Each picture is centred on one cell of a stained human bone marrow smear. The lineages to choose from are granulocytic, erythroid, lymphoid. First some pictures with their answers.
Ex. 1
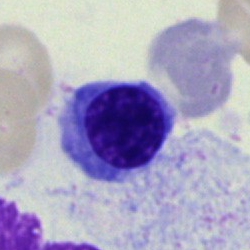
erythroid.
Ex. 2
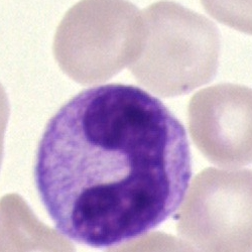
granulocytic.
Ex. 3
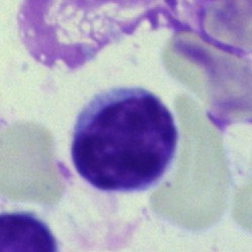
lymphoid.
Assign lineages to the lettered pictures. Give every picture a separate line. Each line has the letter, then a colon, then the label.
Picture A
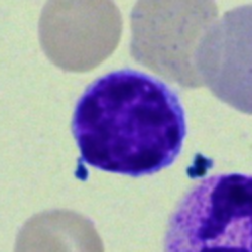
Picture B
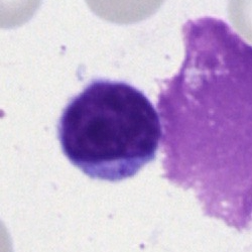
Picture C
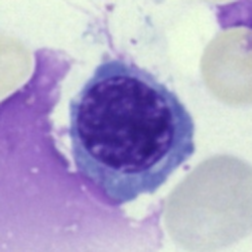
A: lymphoid.
B: lymphoid.
C: erythroid.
